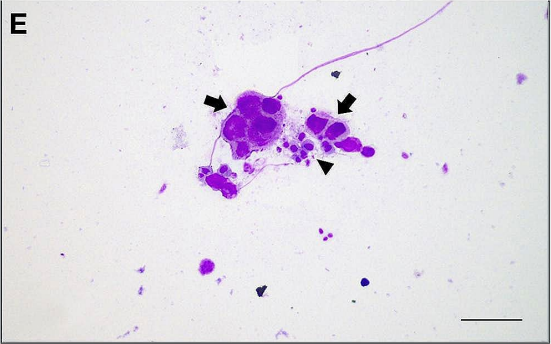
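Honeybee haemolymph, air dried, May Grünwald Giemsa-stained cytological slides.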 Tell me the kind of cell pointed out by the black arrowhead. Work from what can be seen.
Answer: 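Small hemocytes. Several small round dark-staining cells. They are much smaller than the large cells beside them.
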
